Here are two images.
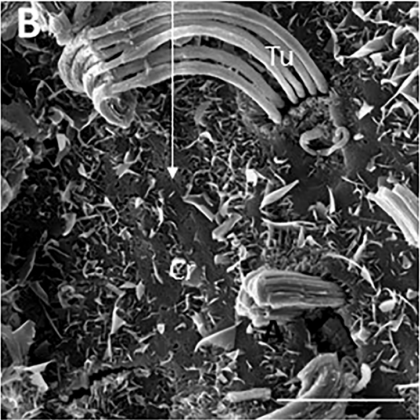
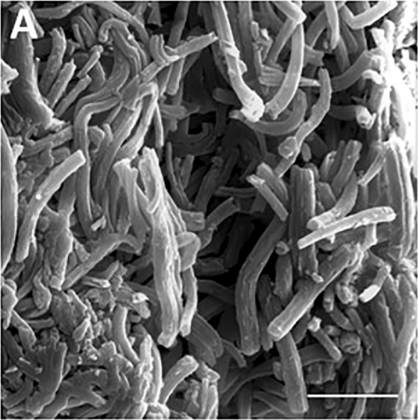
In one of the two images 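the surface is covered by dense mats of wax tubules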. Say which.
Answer: The second image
